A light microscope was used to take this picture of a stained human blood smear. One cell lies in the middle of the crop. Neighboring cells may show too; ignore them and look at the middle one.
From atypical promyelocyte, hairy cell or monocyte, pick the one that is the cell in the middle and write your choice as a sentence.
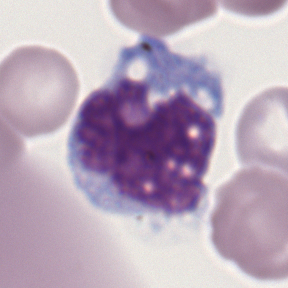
Here the centrally located cell is a monocyte.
